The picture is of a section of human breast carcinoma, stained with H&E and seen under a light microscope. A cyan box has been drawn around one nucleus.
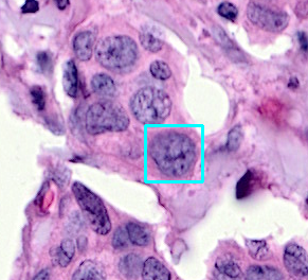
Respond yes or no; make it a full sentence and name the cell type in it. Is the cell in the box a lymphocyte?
No, kindly revise that, as the cell in the box is a carcinoma cell rather than a lymphocyte.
